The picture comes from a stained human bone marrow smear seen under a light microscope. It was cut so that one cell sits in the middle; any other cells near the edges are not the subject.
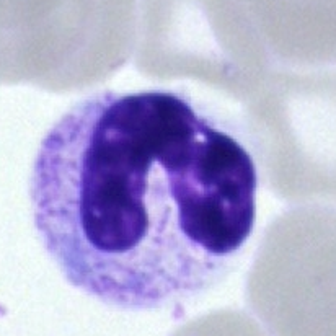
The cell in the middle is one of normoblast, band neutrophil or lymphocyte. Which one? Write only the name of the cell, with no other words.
band neutrophil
